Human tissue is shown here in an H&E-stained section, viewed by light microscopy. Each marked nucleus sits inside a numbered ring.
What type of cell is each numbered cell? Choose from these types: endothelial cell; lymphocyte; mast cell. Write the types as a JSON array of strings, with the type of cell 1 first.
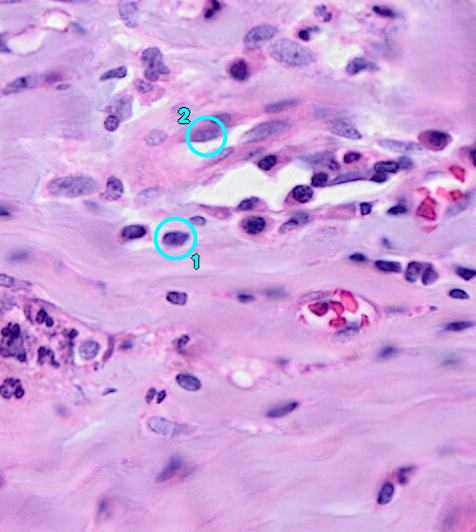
["lymphocyte", "endothelial cell"]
